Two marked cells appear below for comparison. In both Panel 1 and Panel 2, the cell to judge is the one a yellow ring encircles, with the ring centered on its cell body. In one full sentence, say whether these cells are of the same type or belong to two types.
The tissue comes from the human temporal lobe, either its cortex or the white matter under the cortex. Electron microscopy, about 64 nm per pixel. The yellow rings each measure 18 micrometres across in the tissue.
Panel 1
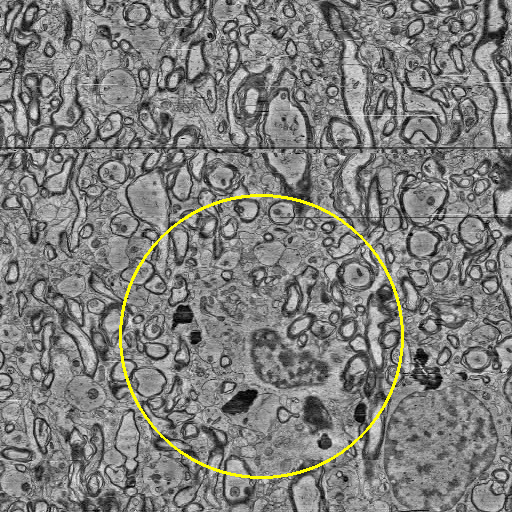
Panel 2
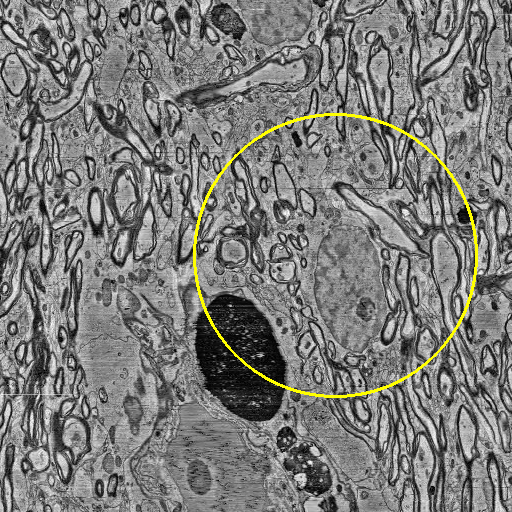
The cell centered in the Panel 1 ring and the one in Panel 2 belong to two types.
